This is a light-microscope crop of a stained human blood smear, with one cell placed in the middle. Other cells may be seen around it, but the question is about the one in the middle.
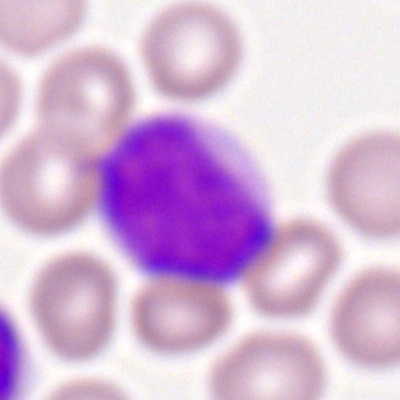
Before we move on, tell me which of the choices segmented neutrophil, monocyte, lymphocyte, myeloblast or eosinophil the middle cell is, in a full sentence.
Whatever else lies nearby, the middle cell is a myeloblast.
